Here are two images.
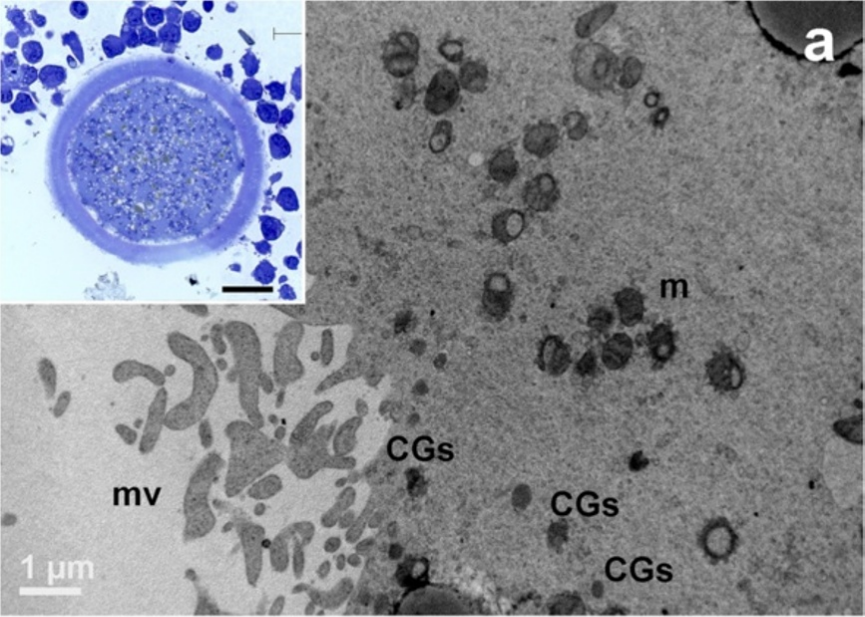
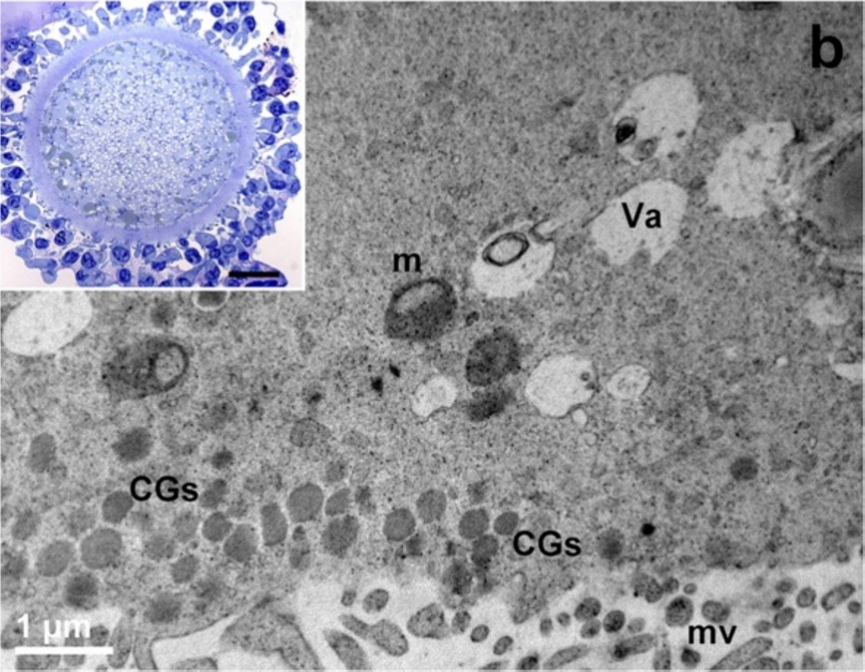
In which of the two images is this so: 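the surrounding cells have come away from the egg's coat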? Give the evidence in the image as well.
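Second image: in the inset, small dark cells form a crowded layer pressed all around the thick pale coat. First image: in the inset, the small dark cells are sparse and lie scattered away from the pale coat.
The first image.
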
